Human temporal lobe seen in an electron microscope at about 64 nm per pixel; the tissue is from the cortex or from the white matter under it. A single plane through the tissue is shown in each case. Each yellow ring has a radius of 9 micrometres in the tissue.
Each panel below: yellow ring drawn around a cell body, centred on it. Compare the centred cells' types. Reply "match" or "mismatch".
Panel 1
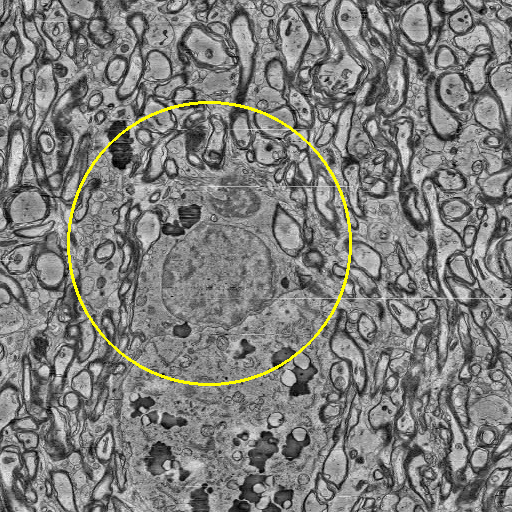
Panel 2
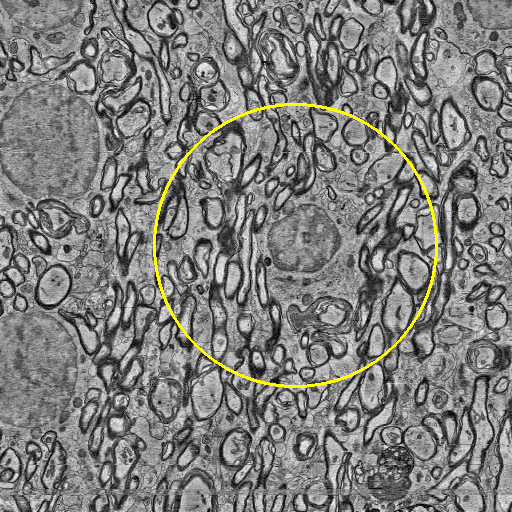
match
